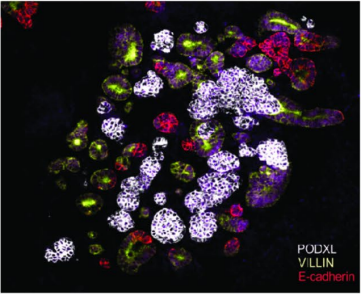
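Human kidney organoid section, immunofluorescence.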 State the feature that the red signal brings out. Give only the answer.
Distal tubular.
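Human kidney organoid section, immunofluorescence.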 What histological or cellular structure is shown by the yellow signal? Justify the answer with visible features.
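Proximal tubular. The yellow signal lines the inner, luminal edge of tube-like epithelial profiles.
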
